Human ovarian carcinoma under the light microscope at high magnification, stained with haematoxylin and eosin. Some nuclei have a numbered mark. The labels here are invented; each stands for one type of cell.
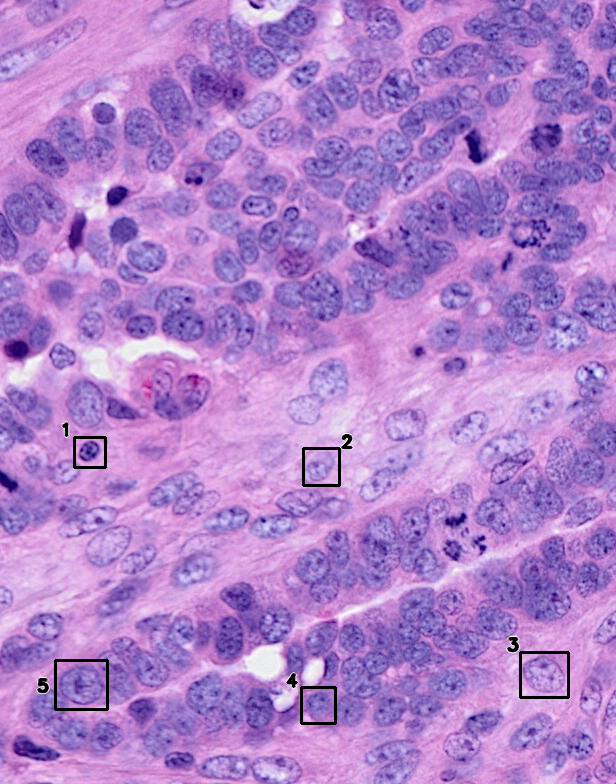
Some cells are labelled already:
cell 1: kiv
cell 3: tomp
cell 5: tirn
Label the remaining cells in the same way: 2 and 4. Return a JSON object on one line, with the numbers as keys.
{"2": "tomp", "4": "tirn"}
